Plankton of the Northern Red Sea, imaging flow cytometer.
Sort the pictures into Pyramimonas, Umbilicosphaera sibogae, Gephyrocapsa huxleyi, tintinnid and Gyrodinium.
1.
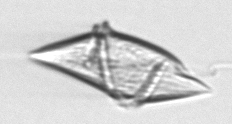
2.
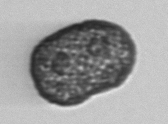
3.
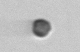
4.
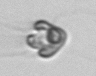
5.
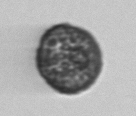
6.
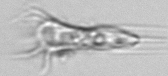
Gyrodinium: 1
Umbilicosphaera sibogae: 2, 5
Gephyrocapsa huxleyi: 3
Pyramimonas: 4
Tintinnids: 6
